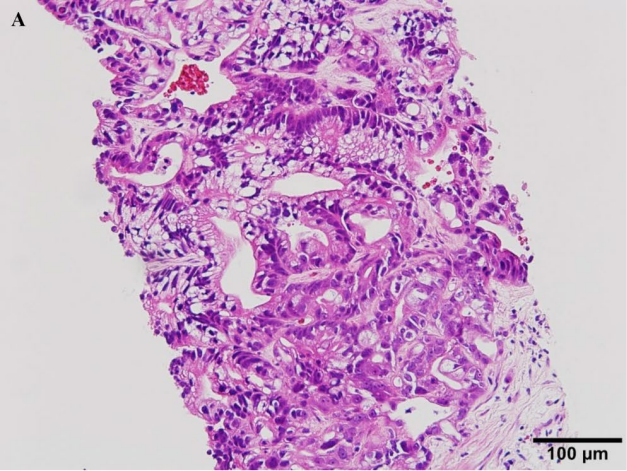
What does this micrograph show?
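Core biopsy of well-differentiated adenocarcinoma, made of atypical columnar tumor cells lining irregular, angulated glands with open lumina. Nuclei are elongated to oval, hyperchromatic and crowded, some stratified along the gland walls. Several cells have pale, vacuolated cytoplasm, and the glands sit in a loose pink fibrous stroma.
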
